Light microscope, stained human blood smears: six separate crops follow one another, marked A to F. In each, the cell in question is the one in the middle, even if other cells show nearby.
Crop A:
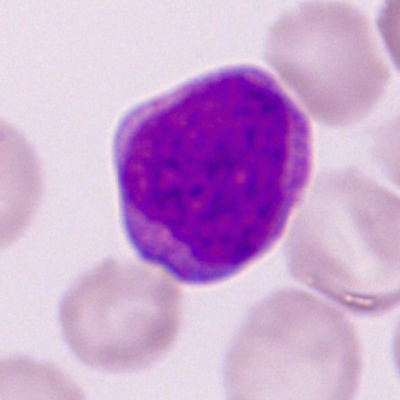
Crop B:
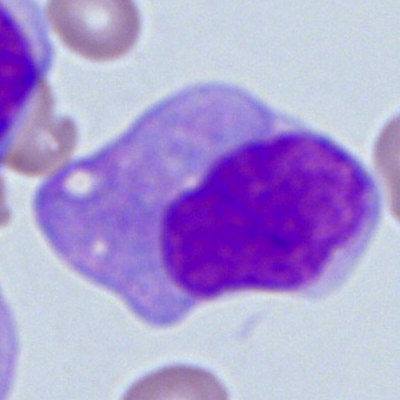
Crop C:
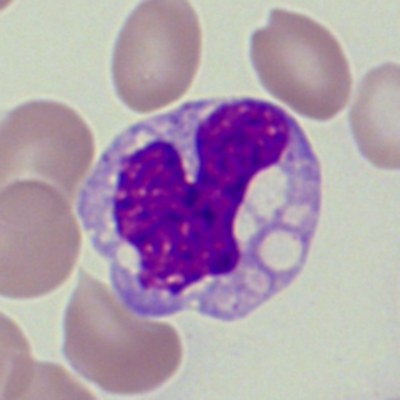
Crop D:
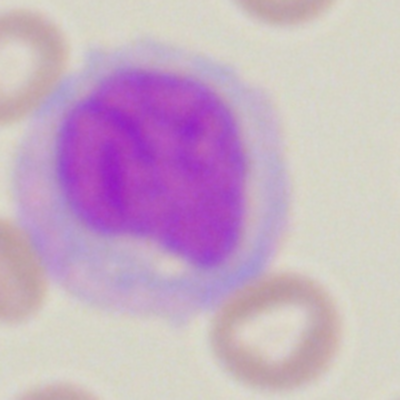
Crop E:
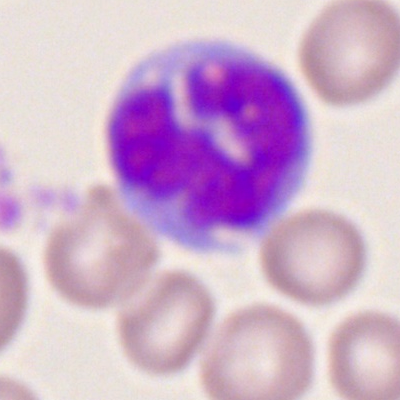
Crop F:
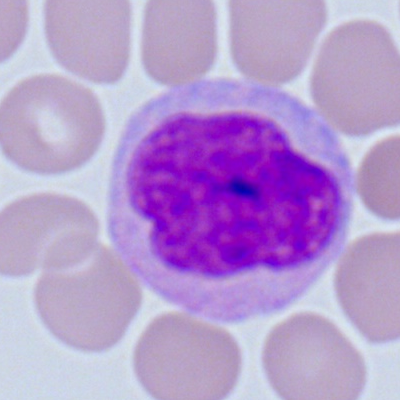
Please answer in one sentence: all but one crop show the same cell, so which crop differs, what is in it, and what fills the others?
Crop A does not match the others; it shows a myeloblast, and they show monocytes.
